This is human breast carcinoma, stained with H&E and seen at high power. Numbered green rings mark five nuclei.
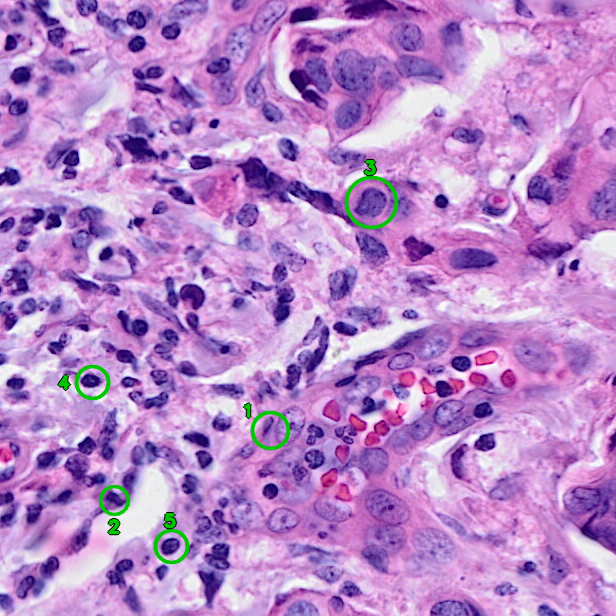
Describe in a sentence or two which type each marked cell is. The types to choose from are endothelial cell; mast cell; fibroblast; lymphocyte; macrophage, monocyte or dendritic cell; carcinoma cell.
Cell 1 is an endothelial cell. Cells 2, 4 and 5 are lymphocytes. Cell 3 is a carcinoma cell.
